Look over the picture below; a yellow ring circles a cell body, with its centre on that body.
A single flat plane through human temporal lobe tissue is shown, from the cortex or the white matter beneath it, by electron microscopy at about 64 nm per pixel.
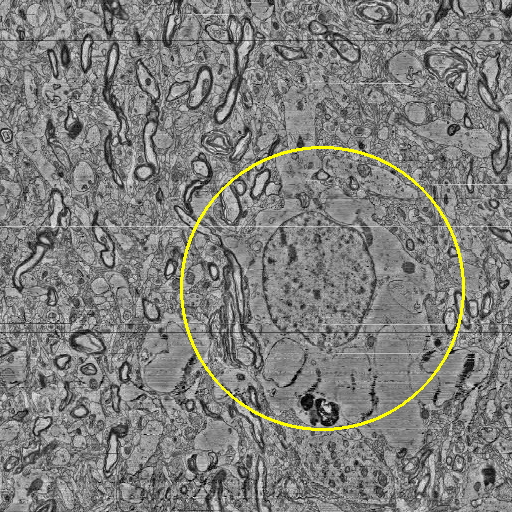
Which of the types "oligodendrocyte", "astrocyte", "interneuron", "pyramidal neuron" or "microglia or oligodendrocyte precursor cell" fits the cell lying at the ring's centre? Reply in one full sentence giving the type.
The picture shows an astrocyte at the centre of the yellow ring.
